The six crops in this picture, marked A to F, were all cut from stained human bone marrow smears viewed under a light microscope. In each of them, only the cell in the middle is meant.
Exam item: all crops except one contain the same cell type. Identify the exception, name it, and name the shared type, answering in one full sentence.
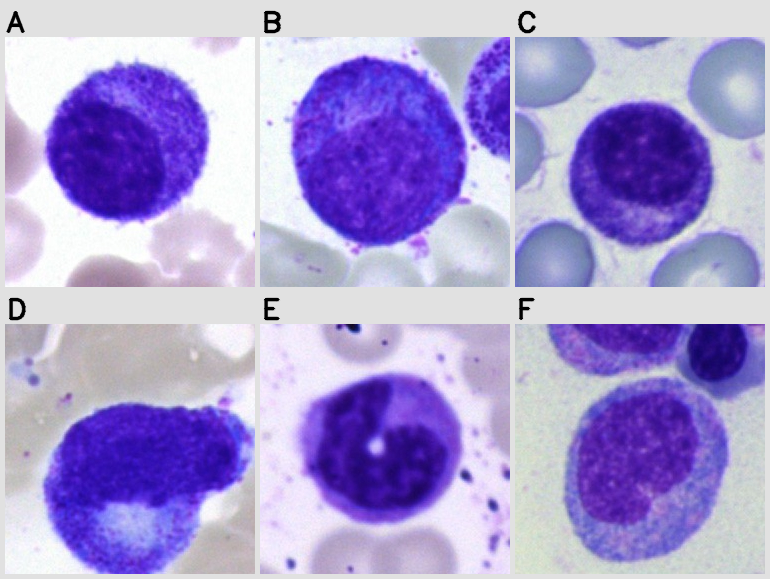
Crop E differs, its cell being a monocyte, whereas the other crops show promyelocytes.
